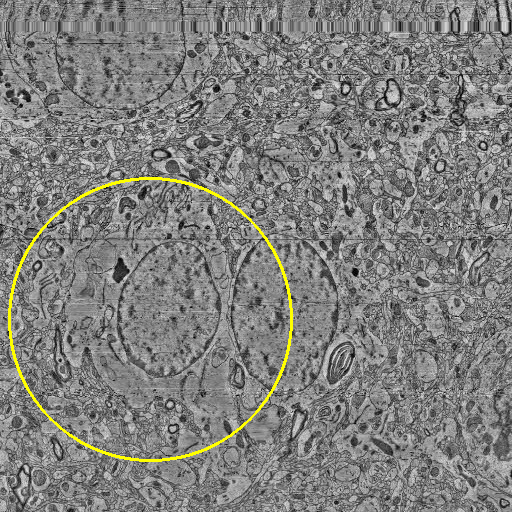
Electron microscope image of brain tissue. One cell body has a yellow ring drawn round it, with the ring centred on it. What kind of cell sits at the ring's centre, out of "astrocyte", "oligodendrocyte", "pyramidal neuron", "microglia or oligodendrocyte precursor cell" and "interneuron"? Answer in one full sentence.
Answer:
It is an astrocyte whose cell body sits at the centre of the yellow ring.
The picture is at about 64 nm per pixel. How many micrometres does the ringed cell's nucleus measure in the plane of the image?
In this plane the nucleus measures roughly 9 by 6 micrometers.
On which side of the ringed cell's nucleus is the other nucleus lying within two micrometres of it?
The other nucleus can be seen to the right of it.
